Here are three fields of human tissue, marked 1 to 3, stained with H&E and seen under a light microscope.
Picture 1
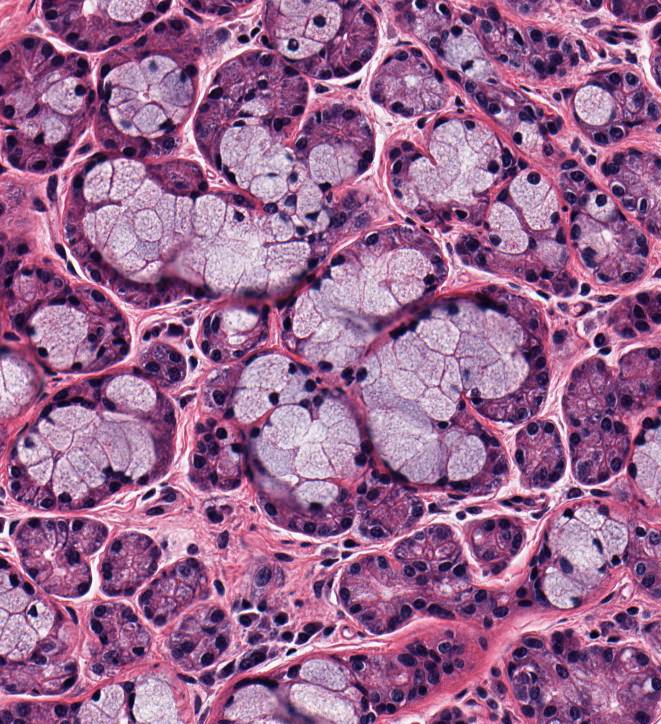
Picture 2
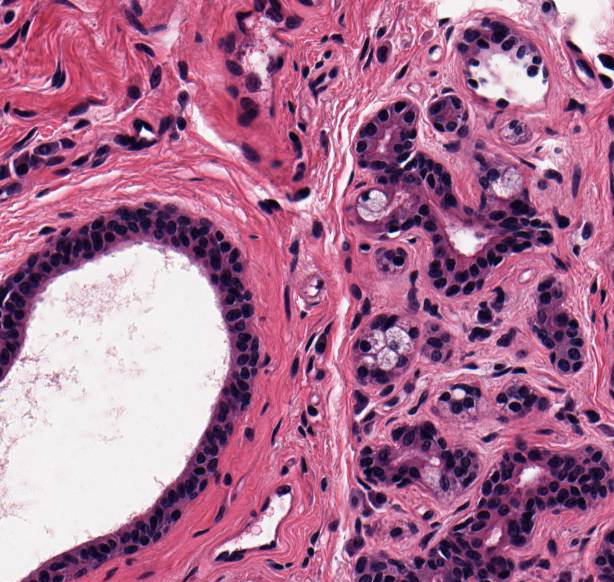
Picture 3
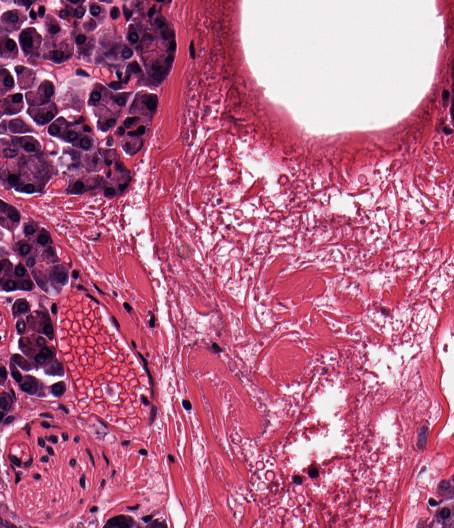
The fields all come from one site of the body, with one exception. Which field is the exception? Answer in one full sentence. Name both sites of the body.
All pictures except 3 come from a minor salivary gland; picture 3 comes from the pancreas.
